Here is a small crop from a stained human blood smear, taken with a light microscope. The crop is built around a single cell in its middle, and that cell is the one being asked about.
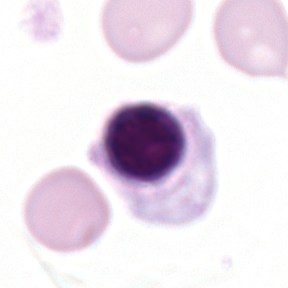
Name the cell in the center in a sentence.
At the middle of the frame sits a normoblast.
